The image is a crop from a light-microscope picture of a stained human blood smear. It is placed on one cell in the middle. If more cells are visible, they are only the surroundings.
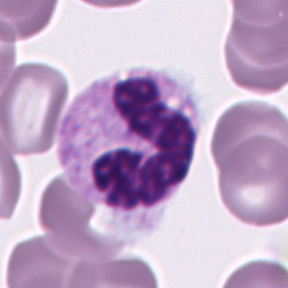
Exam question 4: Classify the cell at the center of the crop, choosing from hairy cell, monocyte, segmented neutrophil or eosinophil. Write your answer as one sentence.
The cell around which this crop is centred is a segmented neutrophil.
